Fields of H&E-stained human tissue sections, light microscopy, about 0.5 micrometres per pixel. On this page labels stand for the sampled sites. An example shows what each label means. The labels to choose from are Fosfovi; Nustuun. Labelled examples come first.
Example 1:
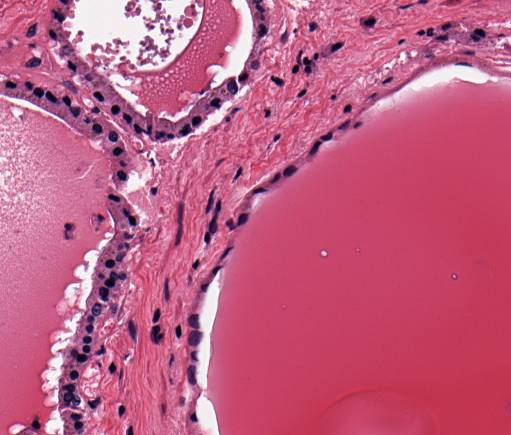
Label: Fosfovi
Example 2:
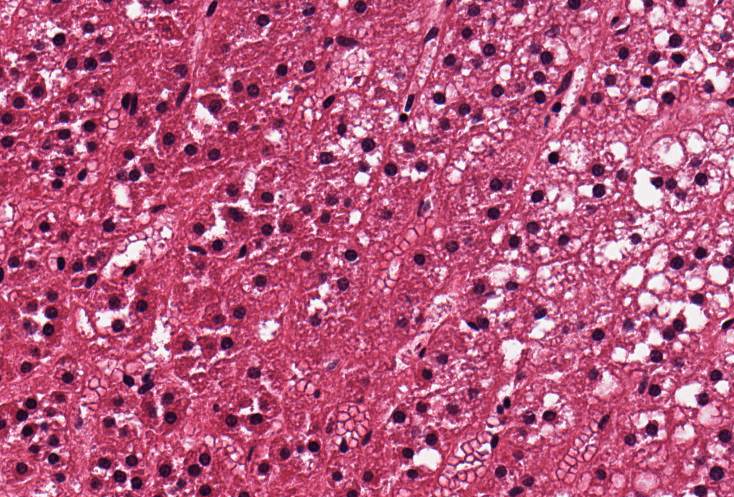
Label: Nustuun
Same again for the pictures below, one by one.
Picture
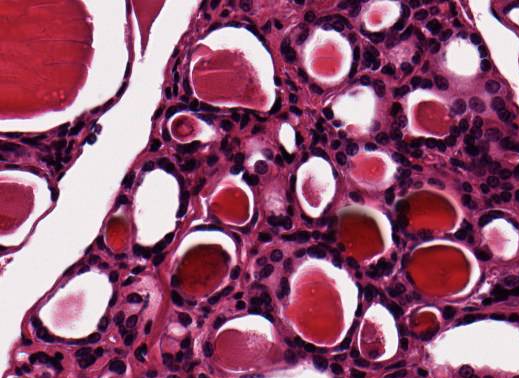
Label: Fosfovi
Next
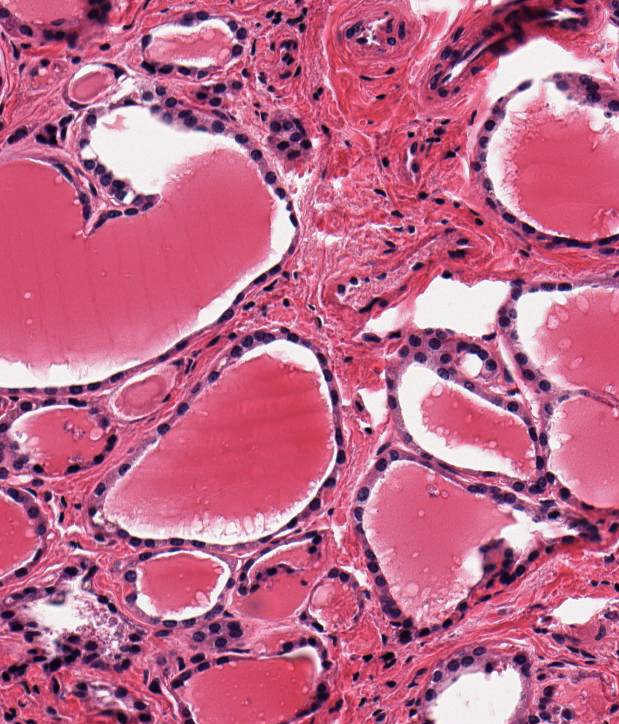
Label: Fosfovi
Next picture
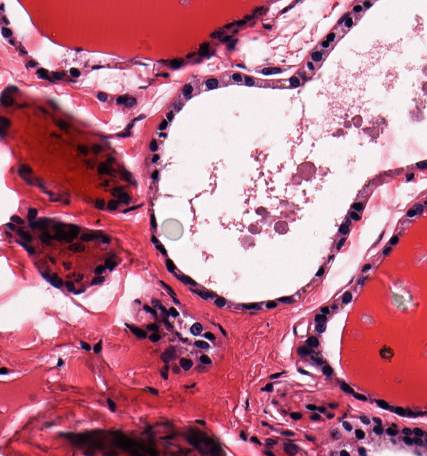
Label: Fosfovi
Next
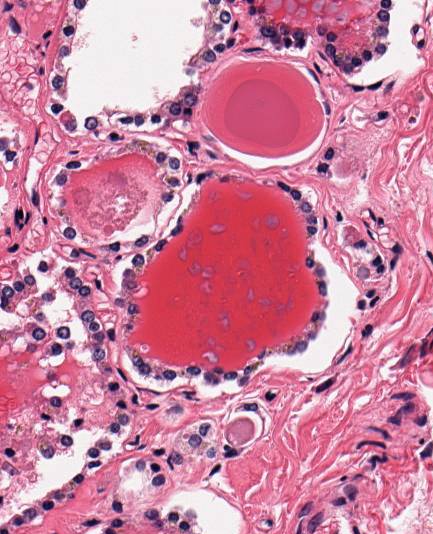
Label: Fosfovi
